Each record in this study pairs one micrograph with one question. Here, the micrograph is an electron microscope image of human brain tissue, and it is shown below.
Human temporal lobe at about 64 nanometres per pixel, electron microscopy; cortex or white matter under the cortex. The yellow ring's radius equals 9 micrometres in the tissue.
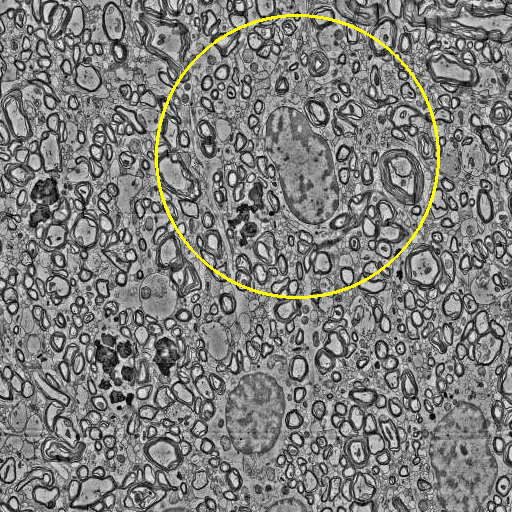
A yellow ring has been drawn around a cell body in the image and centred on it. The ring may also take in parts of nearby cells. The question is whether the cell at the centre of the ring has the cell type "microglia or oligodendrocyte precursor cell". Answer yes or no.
yes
